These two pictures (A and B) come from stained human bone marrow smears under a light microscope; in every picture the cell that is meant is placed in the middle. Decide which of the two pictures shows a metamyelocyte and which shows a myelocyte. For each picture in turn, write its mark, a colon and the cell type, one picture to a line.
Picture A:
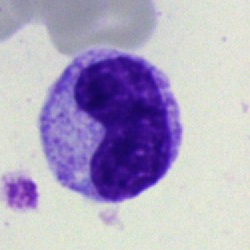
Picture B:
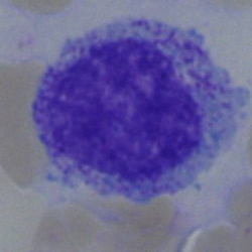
A: metamyelocyte
B: myelocyte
